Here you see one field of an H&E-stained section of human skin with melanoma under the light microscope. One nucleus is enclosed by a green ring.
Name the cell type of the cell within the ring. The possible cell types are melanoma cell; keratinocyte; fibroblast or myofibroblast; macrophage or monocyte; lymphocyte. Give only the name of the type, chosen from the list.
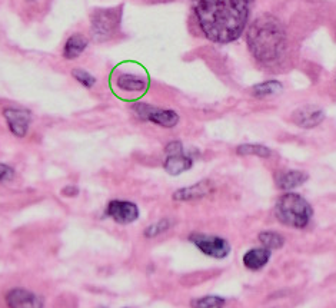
macrophage or monocyte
